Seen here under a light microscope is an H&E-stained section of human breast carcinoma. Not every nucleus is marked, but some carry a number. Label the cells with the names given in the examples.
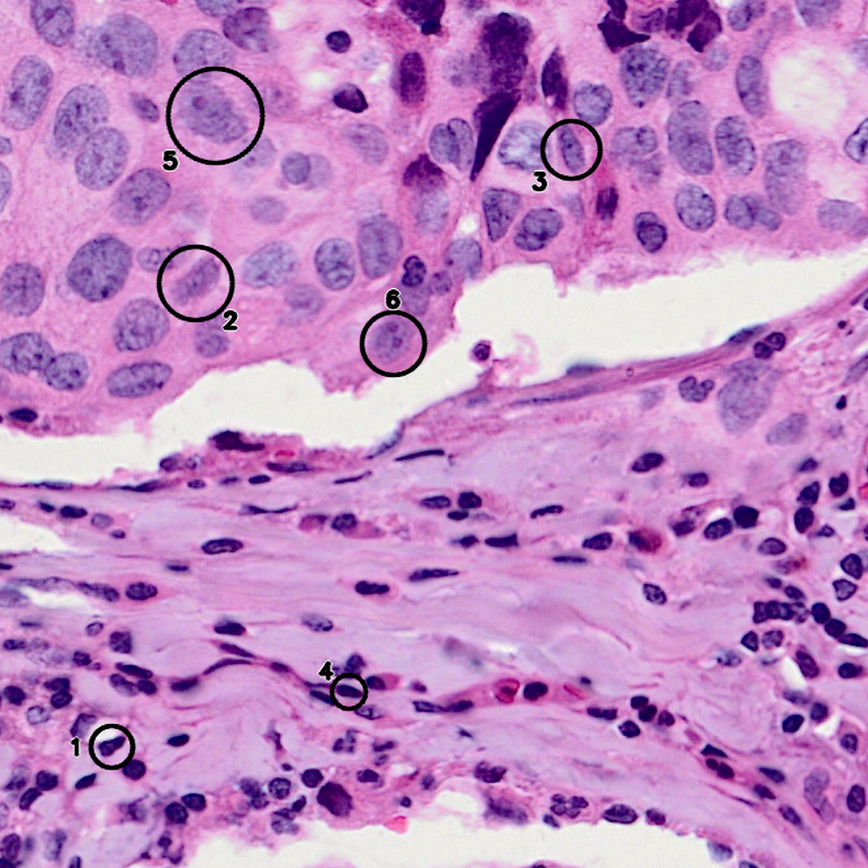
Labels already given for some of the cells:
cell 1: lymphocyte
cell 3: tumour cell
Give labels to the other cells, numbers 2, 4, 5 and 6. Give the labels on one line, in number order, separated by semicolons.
tumour cell; lymphocyte; tumour cell; tumour cell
